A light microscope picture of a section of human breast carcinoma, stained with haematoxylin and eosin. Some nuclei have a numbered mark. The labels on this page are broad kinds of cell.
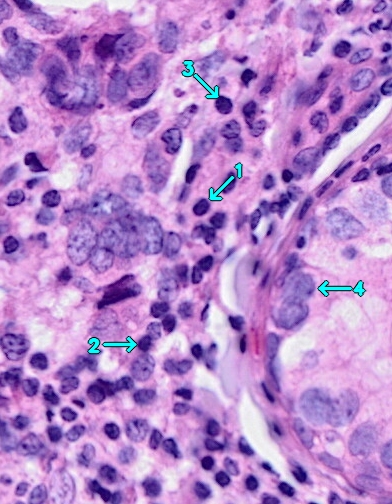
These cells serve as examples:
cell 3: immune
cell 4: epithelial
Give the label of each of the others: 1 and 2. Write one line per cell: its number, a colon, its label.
1: immune
2: immune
